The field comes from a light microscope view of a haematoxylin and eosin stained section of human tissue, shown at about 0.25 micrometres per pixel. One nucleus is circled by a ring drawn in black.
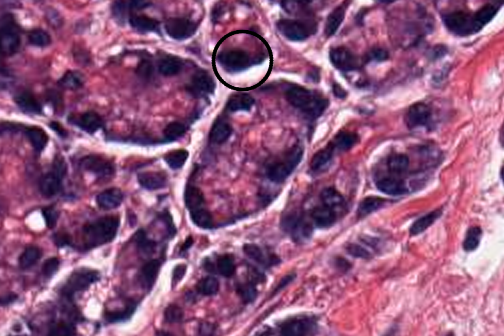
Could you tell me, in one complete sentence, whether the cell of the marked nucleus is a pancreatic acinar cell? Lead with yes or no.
Yes, the marked nucleus, as shown, belongs to a pancreatic acinar cell.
